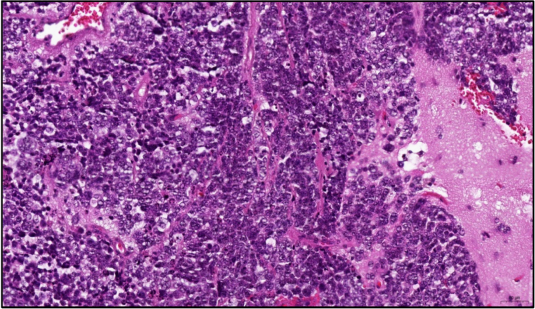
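The cells have very little cytoplasm, so the field is dominated by crowded, darkly stained nuclei lying in sheets. Thin-walled vessels, some filled with red blood cells, cross the tumour. At the right edge the tumour borders pale pink, finely fibrillary brain tissue containing only scattered cells, so the contrast between tumour and surrounding tissue is sharp.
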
